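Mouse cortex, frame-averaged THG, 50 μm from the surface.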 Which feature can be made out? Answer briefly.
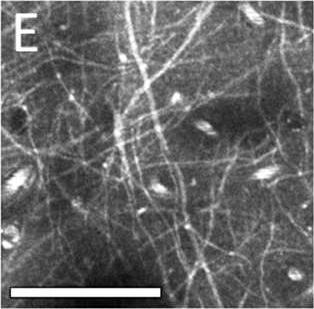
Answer: thin myelinated axons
